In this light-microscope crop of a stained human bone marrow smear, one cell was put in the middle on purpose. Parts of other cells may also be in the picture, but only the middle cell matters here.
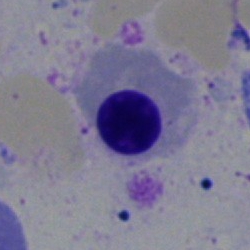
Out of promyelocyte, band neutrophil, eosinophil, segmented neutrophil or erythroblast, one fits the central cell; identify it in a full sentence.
Centrally within this crop lies an erythroblast.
